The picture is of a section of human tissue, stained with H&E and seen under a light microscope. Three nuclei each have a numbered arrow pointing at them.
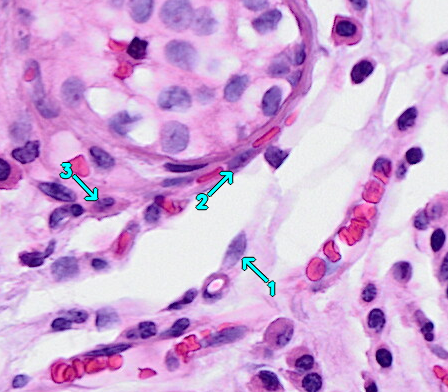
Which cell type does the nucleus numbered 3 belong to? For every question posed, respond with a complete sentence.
Number 3 among the marked cells is a mast cell.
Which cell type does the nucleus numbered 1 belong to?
The cell identified by the number 1 is a fibroblast.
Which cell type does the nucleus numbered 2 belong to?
The cell to which the number 2 is assigned is an endothelial cell.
